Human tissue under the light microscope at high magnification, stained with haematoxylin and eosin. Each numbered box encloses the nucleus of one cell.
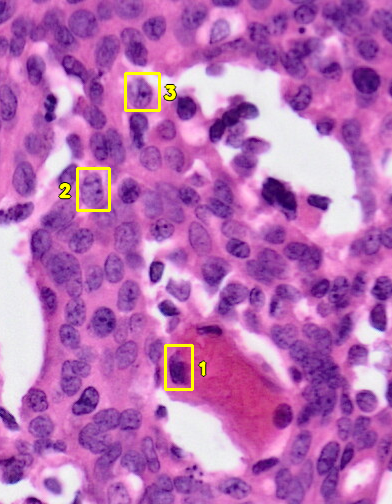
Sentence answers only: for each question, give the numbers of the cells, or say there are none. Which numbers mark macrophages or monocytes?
To be specific, the cells numbered 2 and 3 are macrophages or monocytes.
